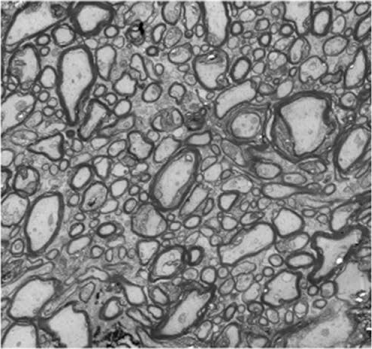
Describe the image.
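Many axons are large, and some are oval or irregular in outline. Small myelinated axons lie packed between the large ones.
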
